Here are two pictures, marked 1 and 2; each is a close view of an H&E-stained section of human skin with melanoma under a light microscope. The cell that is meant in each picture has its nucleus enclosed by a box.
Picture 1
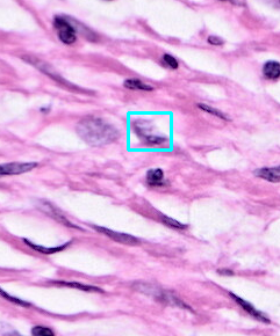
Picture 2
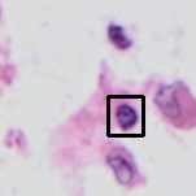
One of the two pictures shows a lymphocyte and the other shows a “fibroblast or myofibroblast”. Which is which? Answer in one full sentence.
Picture 2 shows a lymphocyte, while picture 1 shows a “fibroblast or myofibroblast”.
